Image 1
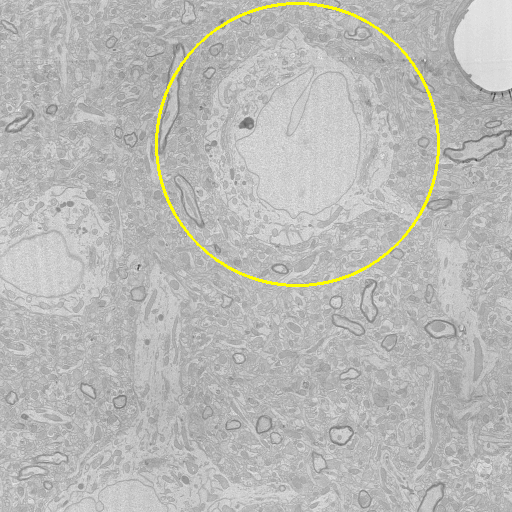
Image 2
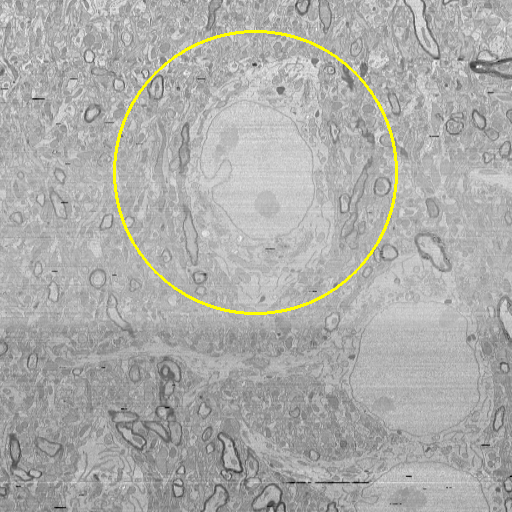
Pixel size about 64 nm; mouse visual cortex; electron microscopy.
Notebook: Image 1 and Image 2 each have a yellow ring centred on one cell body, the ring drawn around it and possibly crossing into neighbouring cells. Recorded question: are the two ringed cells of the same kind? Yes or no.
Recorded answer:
yes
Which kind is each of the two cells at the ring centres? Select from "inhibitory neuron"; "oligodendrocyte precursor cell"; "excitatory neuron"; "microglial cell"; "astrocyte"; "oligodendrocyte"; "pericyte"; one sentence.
The ring centre holds an excitatory neuron in each of the two pictures.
